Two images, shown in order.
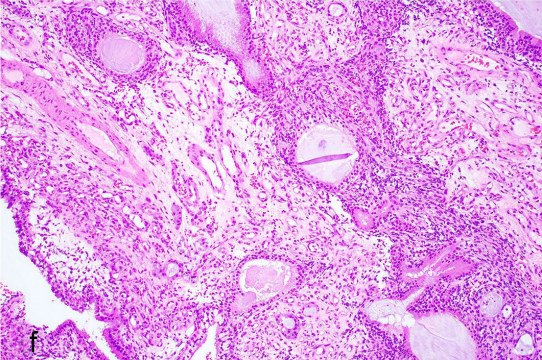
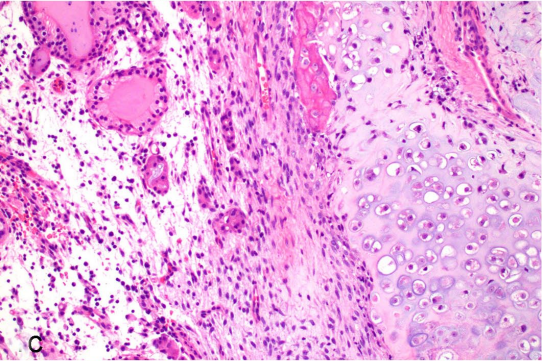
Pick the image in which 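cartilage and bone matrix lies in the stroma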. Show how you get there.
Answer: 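Second image: cartilage with cells in lacunae and pink bony matrix beside the stroma.
Conclusion: the second image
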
